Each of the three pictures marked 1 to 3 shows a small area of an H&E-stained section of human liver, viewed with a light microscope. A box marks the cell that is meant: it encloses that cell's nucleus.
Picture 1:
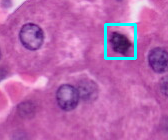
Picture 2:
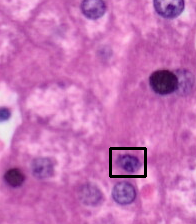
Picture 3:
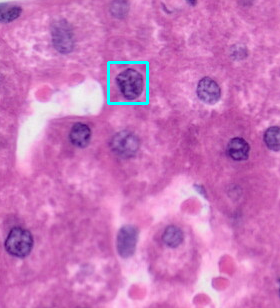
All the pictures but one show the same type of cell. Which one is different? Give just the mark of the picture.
3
